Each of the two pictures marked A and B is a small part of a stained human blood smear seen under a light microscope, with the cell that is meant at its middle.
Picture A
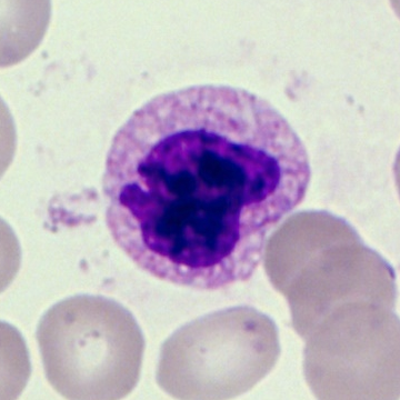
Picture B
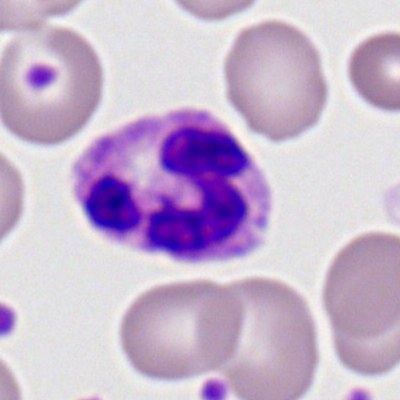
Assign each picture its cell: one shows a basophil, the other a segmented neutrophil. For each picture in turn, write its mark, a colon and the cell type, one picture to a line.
A: basophil
B: segmented neutrophil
